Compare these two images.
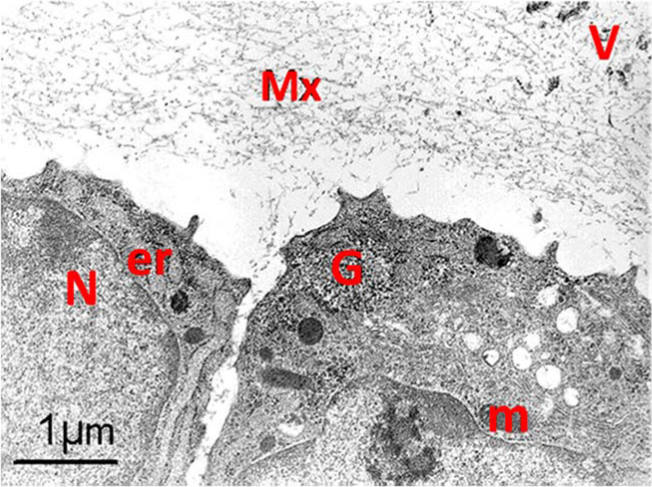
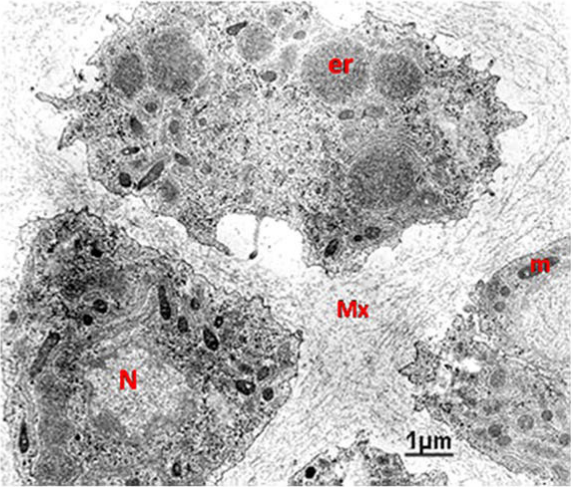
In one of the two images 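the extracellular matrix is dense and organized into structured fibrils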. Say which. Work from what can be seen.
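The second image. First image: the matrix above the cells is pale and loose, made of sparse, scattered fine filaments. Second image: the matrix between the cells is denser, with fibrils running in ordered streams.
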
